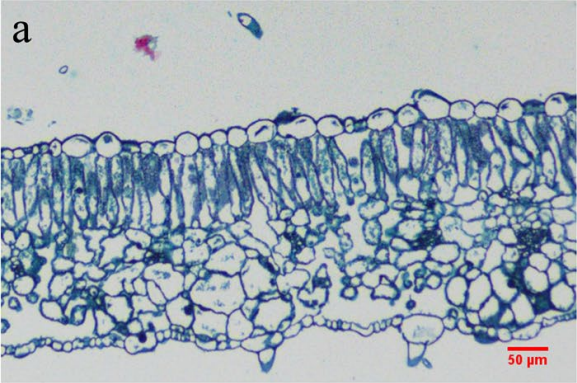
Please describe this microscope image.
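Vertical section of a leaf stained blue, with a single-layered upper epidermis of rounded cells over a layer of tall, closely packed columnar palisade cells. Below lies a thicker zone of loosely arranged, irregular spongy cells with air spaces and darker patches where veins run. A single-layered lower epidermis bears small hair-like projections.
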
